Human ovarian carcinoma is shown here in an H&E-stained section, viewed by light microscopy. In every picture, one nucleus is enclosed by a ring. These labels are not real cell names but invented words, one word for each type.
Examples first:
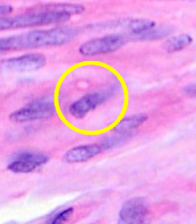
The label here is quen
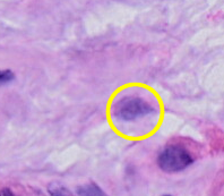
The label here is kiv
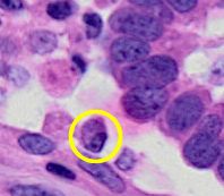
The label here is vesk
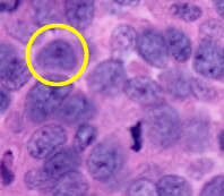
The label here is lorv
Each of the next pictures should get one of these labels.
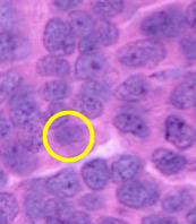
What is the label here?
lorv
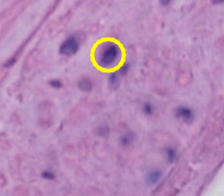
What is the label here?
quen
